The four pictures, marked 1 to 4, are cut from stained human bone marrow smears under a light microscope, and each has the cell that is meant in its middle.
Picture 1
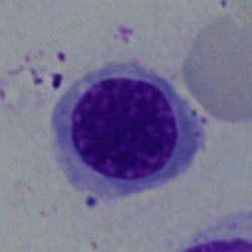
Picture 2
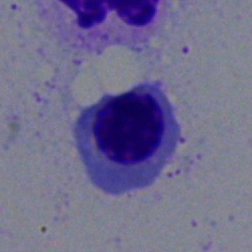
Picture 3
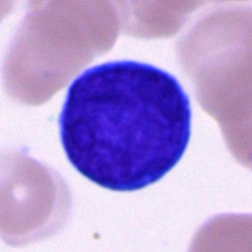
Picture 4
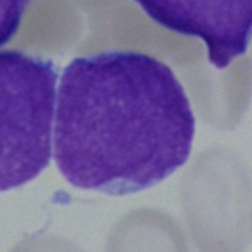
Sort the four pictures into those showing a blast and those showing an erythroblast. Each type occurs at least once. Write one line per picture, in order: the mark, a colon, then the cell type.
1: erythroblast
2: erythroblast
3: blast
4: blast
